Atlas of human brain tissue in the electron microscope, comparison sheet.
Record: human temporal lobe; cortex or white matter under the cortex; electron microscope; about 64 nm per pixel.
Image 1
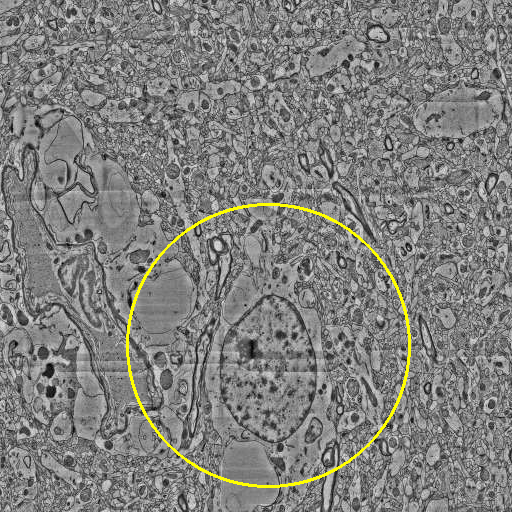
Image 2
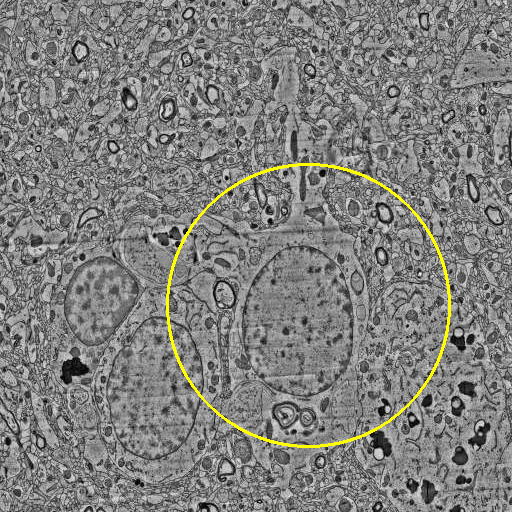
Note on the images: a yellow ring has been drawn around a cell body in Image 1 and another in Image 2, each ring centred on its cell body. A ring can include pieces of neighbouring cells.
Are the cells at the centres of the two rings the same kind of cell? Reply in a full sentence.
Yes, both cells are of the same kind.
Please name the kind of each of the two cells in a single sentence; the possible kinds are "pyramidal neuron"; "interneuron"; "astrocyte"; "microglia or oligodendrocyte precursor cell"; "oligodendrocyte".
Both the first and the second picture show an astrocyte in the ring.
